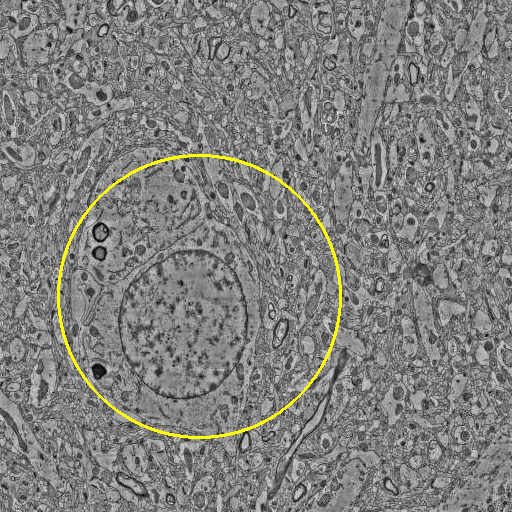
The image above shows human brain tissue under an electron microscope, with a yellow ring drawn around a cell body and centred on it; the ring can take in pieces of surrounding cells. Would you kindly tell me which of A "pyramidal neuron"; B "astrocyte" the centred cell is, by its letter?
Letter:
A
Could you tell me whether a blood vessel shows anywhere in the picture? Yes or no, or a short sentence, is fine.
No, there is no blood vessel in the image.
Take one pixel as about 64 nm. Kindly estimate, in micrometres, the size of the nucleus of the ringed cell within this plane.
About 9 micrometres across, as seen in this plane.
